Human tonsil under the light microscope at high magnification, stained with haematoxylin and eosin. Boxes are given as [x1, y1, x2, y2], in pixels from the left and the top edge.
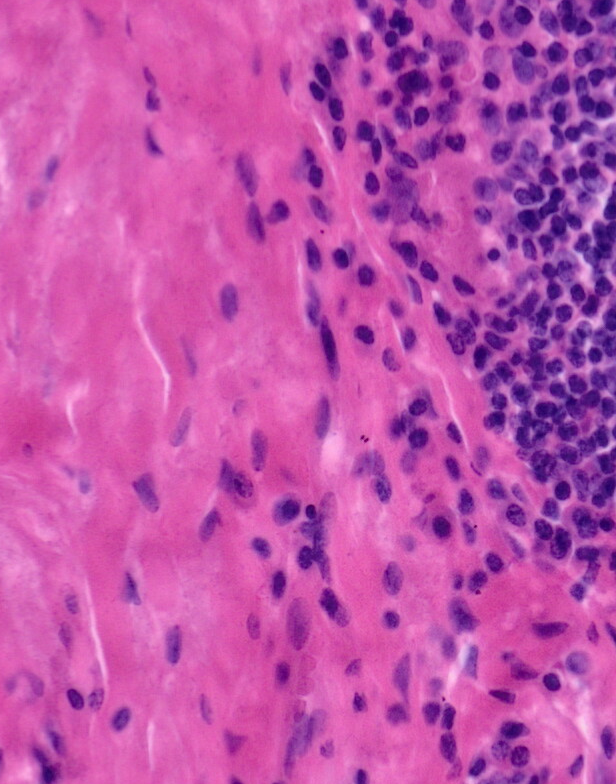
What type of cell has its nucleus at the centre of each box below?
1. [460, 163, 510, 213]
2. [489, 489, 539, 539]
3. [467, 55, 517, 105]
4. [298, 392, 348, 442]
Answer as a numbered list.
1. endothelial cell
2. plasma cell
3. endothelial cell
4. endothelial cell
